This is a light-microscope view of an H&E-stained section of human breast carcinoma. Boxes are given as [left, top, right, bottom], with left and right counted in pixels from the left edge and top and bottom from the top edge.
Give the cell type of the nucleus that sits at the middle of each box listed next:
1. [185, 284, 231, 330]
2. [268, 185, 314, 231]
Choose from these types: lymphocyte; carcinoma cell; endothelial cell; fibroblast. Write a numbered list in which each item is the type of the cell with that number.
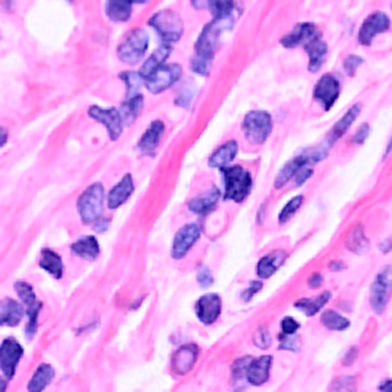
1. carcinoma cell
2. endothelial cell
